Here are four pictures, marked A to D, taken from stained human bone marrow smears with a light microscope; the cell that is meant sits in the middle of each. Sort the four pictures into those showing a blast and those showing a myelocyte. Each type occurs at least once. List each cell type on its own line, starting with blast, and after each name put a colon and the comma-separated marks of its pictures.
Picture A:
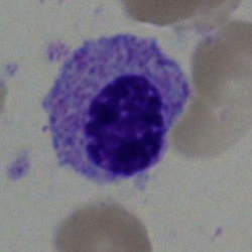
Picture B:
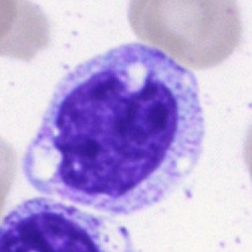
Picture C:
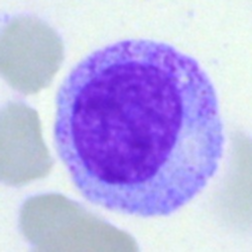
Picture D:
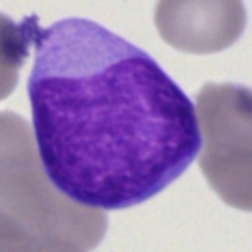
blast: D
myelocyte: A, B, C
